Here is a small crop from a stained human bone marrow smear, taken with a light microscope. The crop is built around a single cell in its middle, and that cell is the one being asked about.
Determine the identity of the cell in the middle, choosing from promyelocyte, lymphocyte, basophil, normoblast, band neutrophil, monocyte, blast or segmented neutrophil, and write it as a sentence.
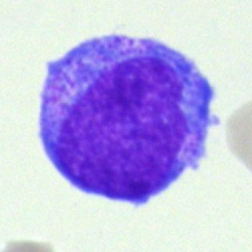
In this smear crop, the middle cell is a promyelocyte.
